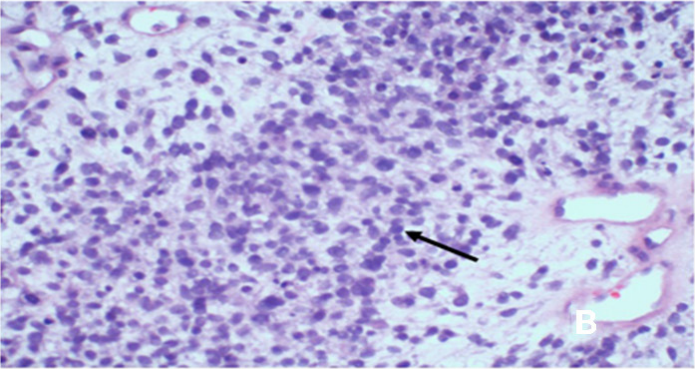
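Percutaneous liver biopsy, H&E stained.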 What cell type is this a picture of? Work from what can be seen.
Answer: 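The field is packed with cells that have round, dark purple nuclei. The cells vary in size and lie without any orderly arrangement. Cytoplasm is scant in most cells. So: large and small round cells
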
